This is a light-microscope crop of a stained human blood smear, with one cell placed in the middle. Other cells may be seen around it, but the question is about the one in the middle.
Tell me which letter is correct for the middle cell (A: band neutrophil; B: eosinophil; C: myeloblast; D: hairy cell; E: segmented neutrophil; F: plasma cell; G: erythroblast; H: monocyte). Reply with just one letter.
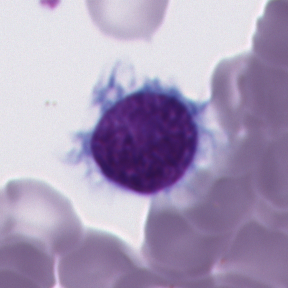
D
